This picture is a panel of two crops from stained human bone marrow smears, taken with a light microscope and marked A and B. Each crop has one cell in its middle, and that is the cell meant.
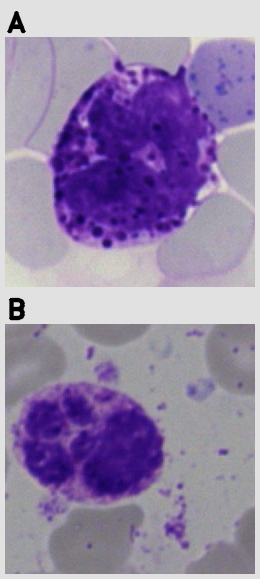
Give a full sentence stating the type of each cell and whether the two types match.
Yes, the central cells of both crops are basophils.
